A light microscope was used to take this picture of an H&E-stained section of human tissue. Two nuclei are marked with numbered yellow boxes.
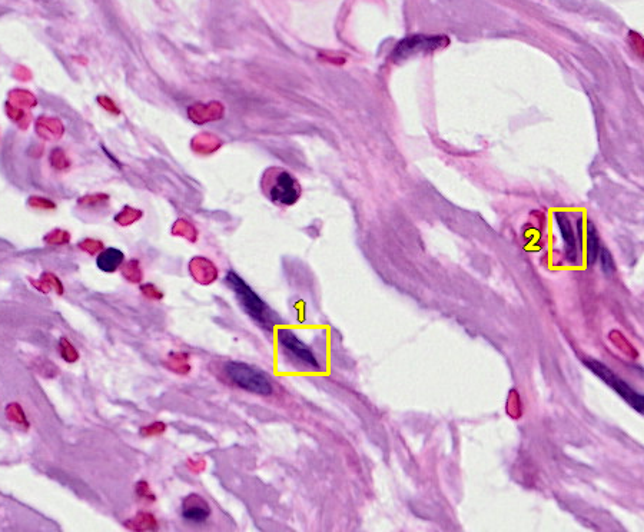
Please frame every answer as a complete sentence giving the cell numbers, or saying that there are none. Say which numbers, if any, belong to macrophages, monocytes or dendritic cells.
Identified by number, the marked cells include no macrophages, monocytes or dendritic cells.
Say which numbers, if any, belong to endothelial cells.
Cell 2 is an endothelial cell, while every other numbered cell is not.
